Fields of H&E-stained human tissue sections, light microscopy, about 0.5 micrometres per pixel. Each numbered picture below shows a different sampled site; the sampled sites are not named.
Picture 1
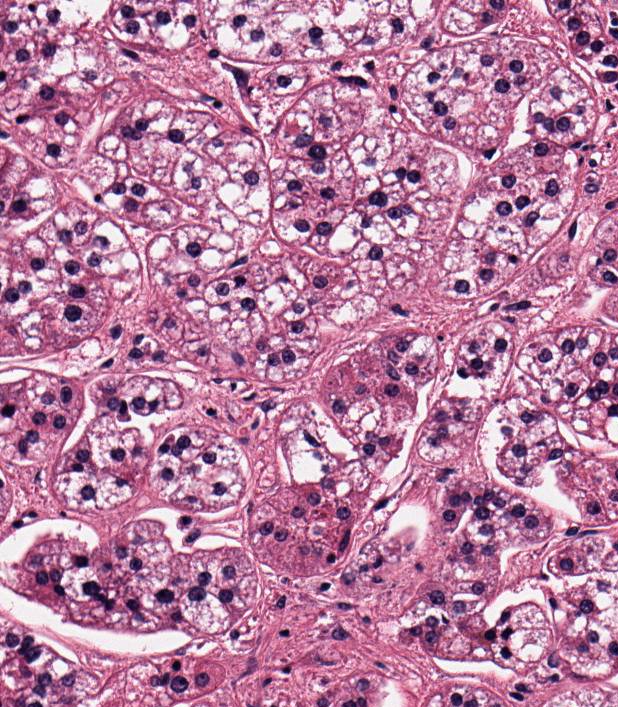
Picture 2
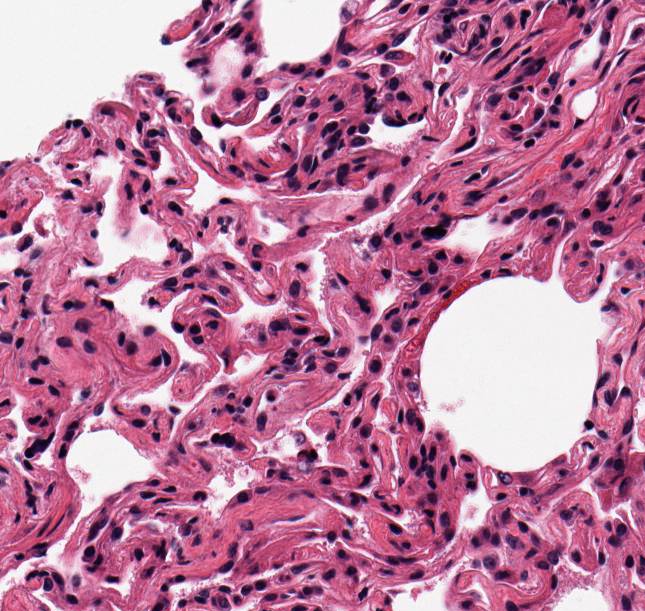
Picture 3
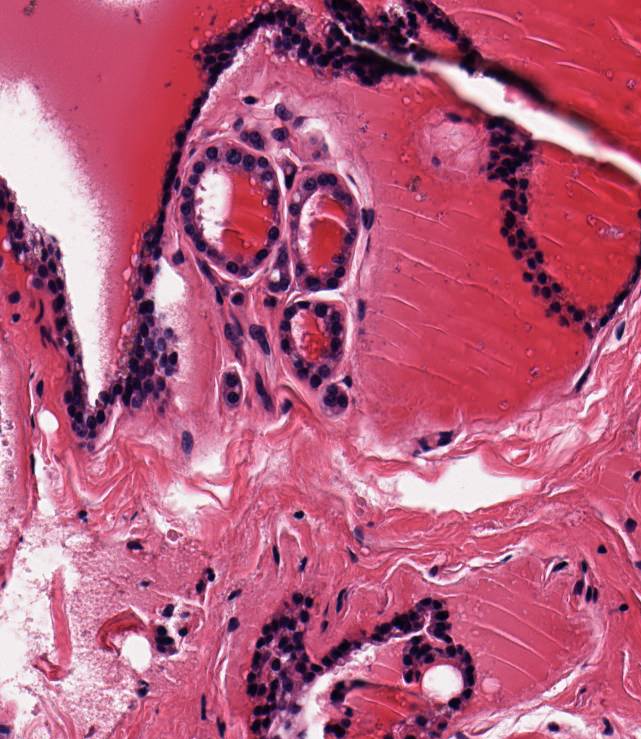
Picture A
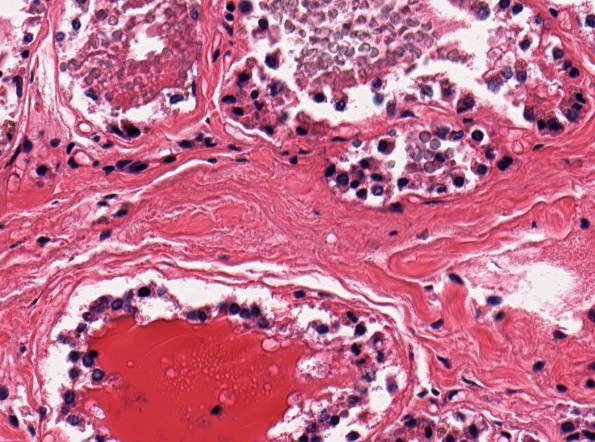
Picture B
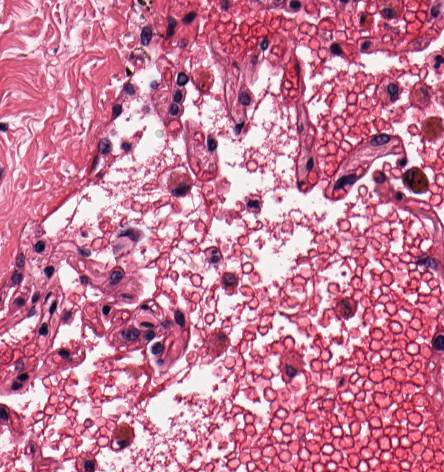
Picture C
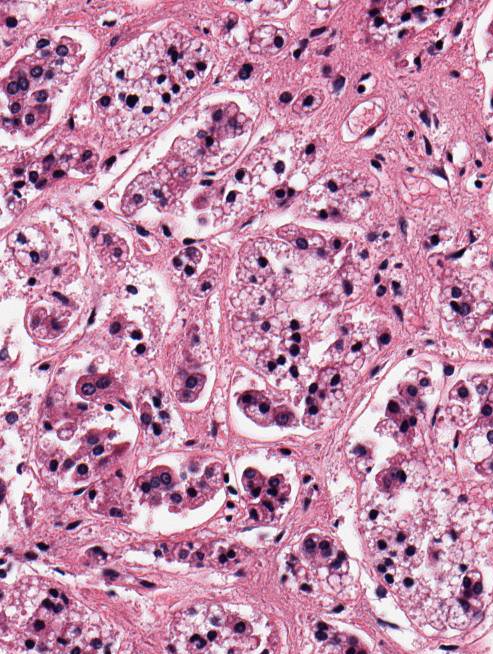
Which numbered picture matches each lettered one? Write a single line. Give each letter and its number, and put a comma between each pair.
A 3, B 2, C 1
